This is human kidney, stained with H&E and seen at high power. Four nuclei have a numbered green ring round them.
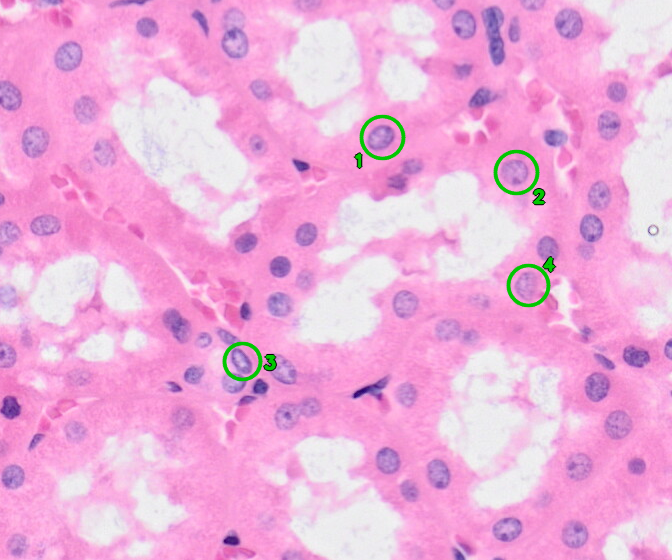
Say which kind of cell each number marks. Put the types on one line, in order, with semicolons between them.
proximal tubule cell; proximal tubule cell; collecting duct cell; proximal tubule cell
